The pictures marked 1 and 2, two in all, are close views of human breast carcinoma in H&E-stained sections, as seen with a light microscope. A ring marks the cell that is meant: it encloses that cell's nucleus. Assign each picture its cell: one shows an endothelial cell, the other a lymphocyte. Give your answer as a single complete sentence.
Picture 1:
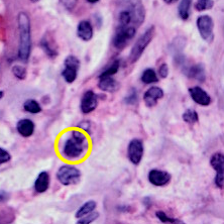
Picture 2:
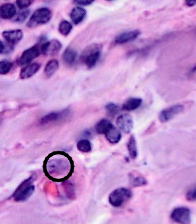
Picture 2 shows an endothelial cell, while picture 1 shows a lymphocyte.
